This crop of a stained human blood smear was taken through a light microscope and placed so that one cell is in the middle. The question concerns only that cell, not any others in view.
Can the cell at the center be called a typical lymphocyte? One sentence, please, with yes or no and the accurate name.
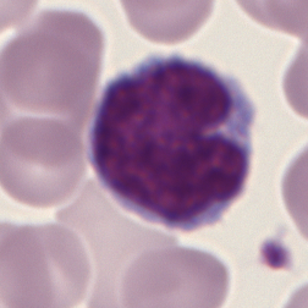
Yes, the cell in the middle of this smear crop is a typical lymphocyte.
